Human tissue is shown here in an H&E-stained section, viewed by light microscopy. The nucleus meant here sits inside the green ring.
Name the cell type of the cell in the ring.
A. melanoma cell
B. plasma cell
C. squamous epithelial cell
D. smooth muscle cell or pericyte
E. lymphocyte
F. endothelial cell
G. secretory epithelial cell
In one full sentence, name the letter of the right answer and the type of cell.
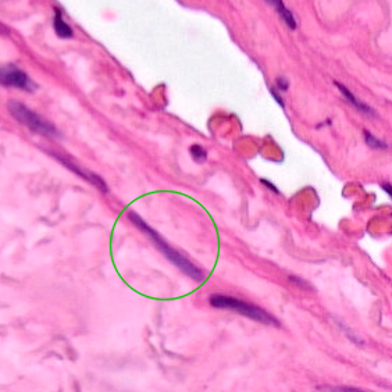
Option D is the correct one, since the cell in the ring is a smooth muscle cell or pericyte.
